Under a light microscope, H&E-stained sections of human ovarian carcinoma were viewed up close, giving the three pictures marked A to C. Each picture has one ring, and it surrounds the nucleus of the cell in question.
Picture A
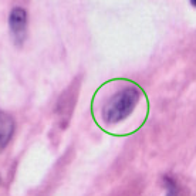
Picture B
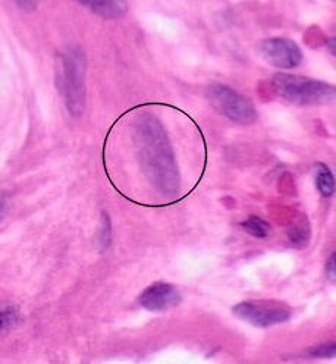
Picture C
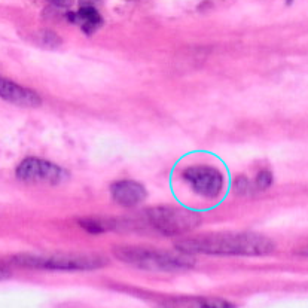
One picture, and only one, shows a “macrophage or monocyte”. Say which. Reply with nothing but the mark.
C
